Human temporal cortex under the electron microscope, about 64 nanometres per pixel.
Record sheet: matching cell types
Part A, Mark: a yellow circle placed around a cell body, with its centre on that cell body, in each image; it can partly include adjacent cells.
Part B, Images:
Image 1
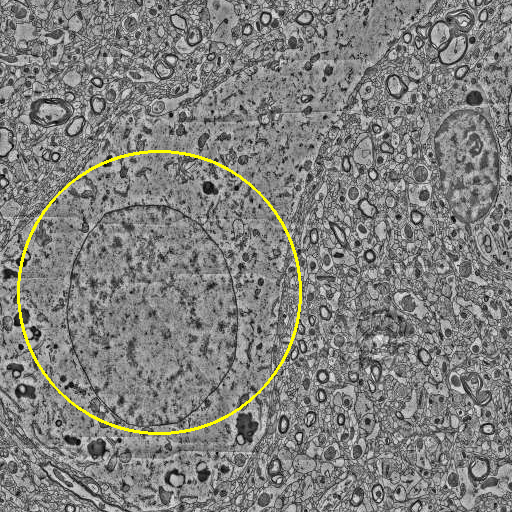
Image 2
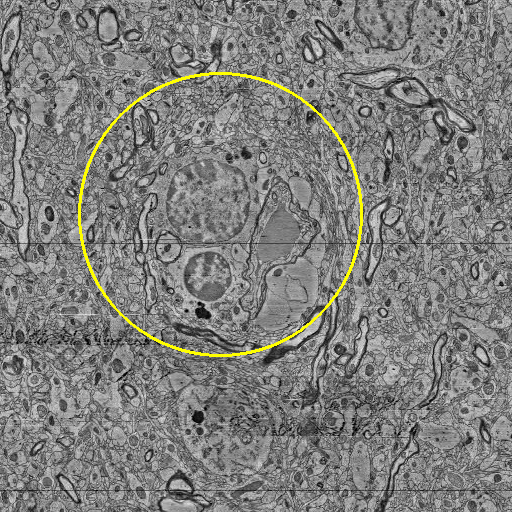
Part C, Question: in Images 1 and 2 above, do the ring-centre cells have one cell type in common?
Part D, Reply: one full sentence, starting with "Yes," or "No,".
No, the ring-centre cells of Image 1 and Image 2 are each of a separate cell type.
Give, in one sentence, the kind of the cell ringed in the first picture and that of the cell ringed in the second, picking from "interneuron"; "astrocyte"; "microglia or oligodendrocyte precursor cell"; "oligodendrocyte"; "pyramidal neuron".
For the first picture it is a pyramidal neuron; for the second, an oligodendrocyte.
